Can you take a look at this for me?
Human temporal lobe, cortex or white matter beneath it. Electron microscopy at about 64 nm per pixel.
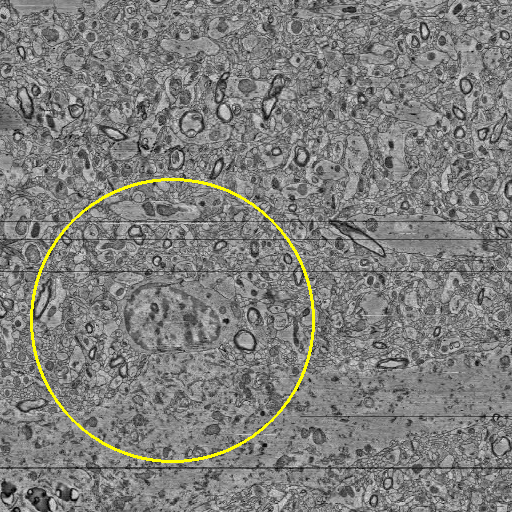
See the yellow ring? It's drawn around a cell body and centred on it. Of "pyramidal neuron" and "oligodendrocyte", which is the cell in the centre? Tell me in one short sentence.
The one in the centre is an oligodendrocyte.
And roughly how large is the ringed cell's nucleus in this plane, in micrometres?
In this plane, approximately 6 by 5 micrometers.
